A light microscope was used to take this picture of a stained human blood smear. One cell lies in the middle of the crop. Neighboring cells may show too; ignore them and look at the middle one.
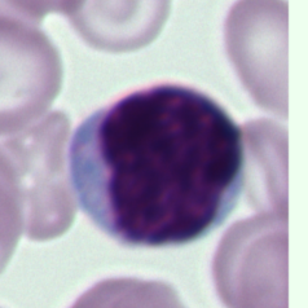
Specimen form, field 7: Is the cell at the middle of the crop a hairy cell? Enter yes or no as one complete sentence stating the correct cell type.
No, the label for the central cell is a typical lymphocyte, not a hairy cell.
